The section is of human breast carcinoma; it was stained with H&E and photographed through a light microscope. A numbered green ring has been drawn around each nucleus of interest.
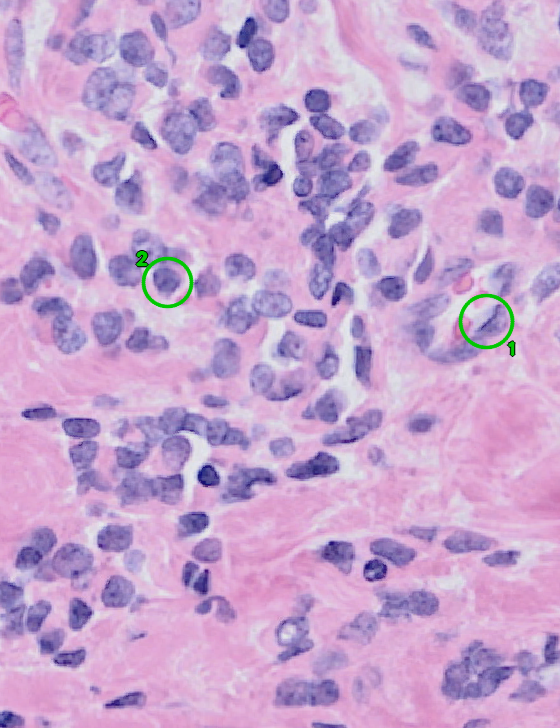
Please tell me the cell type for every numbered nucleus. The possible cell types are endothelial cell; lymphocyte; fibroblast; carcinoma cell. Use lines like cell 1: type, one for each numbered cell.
cell 1: endothelial cell
cell 2: carcinoma cell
